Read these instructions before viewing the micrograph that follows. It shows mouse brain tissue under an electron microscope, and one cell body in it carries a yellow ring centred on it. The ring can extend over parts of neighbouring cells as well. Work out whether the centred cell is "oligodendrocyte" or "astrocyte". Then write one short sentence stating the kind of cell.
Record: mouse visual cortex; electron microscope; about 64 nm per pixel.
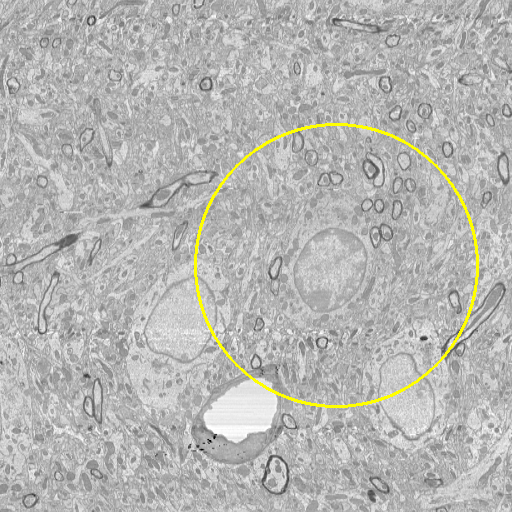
The ringed cell is an oligodendrocyte.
